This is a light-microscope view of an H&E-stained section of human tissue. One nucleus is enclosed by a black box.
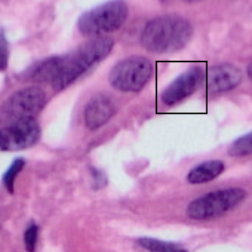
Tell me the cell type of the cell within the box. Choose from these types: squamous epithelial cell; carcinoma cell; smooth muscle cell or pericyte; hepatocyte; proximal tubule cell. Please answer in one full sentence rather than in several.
What the cell within the box represents is a carcinoma cell.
